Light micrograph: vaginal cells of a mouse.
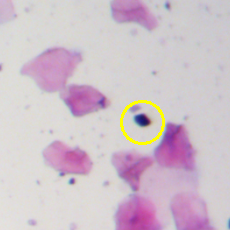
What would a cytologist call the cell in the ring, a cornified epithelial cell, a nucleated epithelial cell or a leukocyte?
A cytologist would call it a leukocyte.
